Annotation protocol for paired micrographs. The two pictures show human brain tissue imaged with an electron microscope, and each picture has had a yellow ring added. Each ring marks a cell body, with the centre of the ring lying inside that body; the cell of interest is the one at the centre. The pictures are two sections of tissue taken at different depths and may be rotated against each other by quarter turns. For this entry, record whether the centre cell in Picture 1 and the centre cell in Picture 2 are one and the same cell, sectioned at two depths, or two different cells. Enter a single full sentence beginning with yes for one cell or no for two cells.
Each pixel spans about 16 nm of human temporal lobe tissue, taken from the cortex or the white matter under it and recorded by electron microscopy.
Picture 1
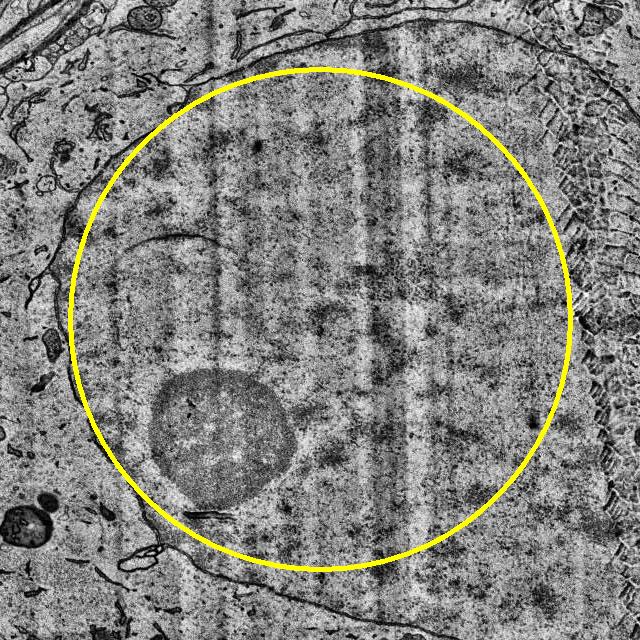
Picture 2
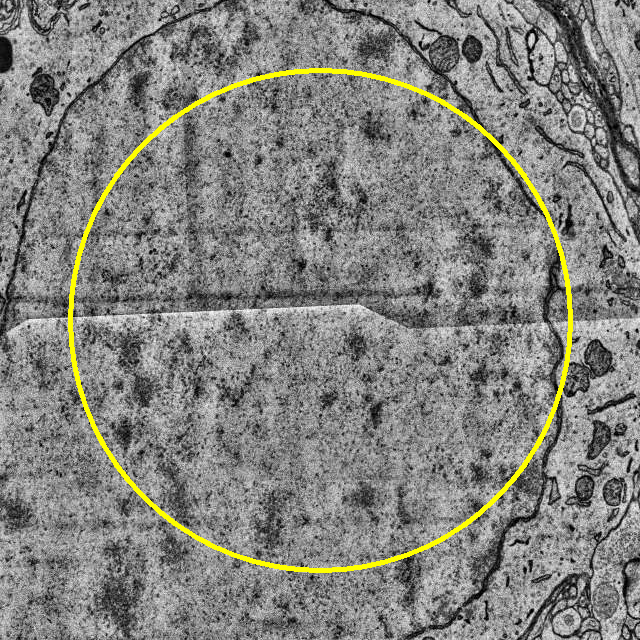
Yes, what the two rings mark is one cell.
